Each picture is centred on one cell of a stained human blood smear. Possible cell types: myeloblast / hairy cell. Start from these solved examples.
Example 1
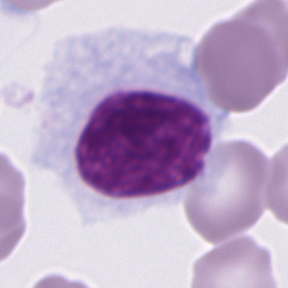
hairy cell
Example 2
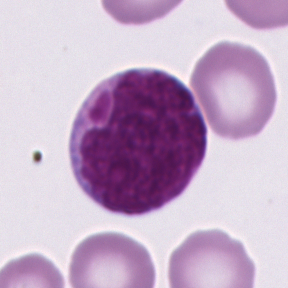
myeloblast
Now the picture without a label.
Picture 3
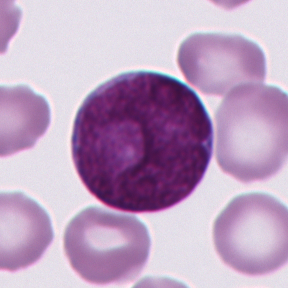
myeloblast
